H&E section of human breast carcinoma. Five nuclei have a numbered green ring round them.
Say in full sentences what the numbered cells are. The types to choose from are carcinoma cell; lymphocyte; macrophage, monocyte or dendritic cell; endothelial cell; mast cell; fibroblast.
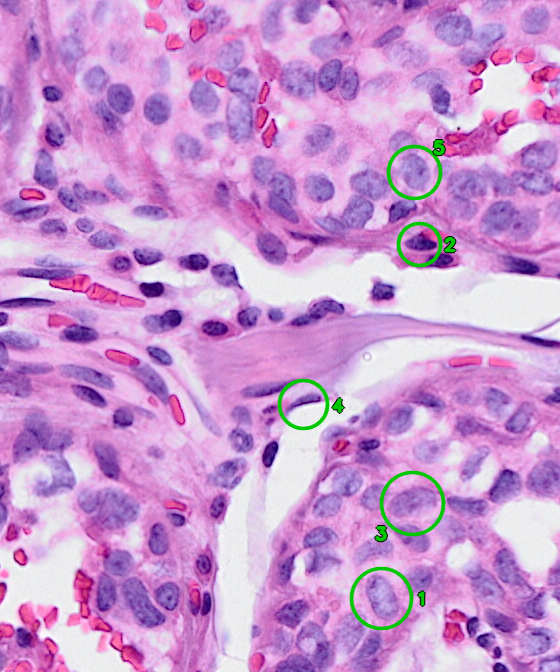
Cell 1 is a carcinoma cell, cell 2 is an endothelial cell, cell 3 is a carcinoma cell, cell 4 is a fibroblast and cell 5 is a carcinoma cell.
